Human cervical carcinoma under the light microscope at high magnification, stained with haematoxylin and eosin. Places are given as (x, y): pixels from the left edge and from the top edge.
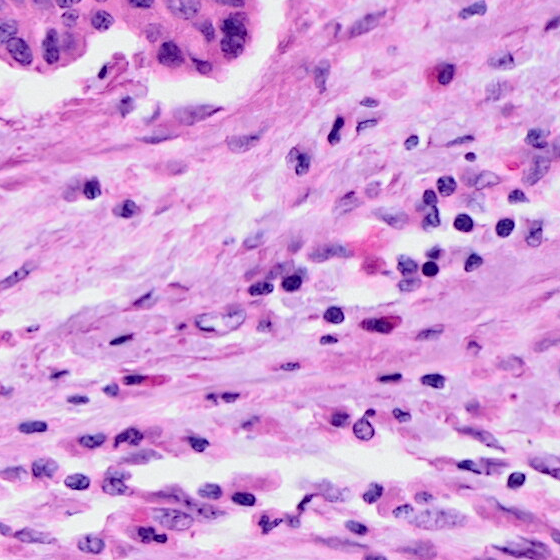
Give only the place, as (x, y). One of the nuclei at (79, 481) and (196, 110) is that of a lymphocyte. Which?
(79, 481)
